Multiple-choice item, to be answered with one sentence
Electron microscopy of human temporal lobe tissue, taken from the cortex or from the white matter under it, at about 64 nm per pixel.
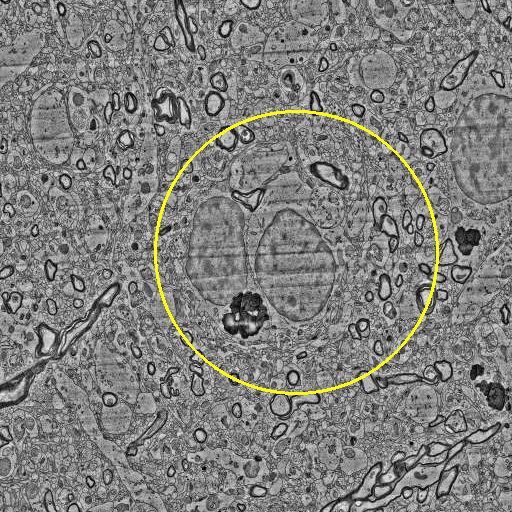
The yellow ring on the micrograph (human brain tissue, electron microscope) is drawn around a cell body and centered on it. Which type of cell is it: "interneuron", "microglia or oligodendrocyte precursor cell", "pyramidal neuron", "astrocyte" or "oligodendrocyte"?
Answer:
The ring is centered on a microglial cell or oligodendrocyte precursor cell.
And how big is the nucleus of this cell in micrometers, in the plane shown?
In this plane, the nucleus of the cell at the centre of the ring measures about 7 by 5 micrometres.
